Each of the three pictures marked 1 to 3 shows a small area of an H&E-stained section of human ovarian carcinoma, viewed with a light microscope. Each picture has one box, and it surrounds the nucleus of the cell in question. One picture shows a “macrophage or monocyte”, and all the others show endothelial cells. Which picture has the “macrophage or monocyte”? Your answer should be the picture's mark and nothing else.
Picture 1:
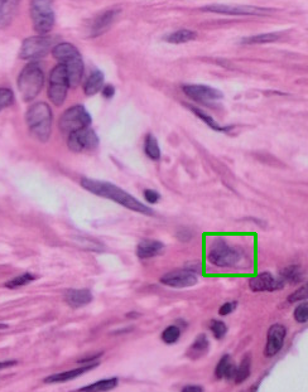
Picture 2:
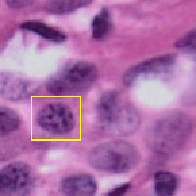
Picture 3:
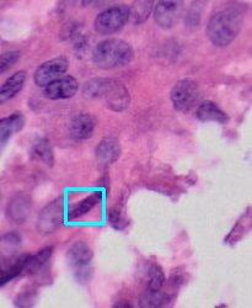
2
